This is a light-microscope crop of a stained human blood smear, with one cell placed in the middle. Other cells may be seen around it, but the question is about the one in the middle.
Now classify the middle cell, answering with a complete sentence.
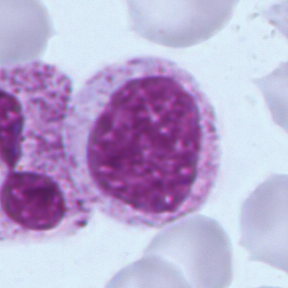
Among the cells in view, the one in the middle is a myelocyte.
